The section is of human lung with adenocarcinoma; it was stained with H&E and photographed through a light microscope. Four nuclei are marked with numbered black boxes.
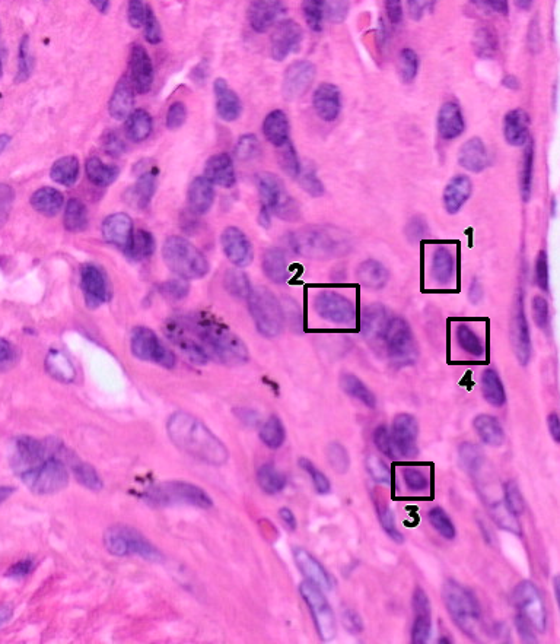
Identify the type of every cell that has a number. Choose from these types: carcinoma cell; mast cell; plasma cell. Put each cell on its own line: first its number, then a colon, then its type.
1: plasma cell
2: mast cell
3: plasma cell
4: plasma cell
